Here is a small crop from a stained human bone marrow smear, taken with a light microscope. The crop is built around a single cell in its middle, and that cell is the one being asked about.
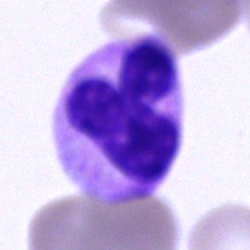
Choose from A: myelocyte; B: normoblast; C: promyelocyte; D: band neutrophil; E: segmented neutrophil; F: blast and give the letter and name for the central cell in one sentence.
Of the choices given, option E is right, as the central cell is a segmented neutrophil.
